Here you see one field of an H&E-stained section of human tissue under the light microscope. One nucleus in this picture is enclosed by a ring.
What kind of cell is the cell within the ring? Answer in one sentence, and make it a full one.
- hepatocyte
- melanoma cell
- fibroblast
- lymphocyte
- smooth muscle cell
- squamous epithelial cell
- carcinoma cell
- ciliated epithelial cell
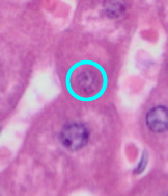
The identity of the cell within the ring: it is a hepatocyte.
